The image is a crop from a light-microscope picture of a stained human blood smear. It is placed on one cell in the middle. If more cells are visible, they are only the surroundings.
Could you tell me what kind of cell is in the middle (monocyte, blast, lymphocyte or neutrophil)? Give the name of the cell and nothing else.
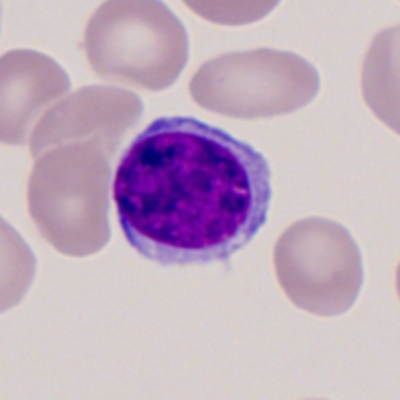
lymphocyte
